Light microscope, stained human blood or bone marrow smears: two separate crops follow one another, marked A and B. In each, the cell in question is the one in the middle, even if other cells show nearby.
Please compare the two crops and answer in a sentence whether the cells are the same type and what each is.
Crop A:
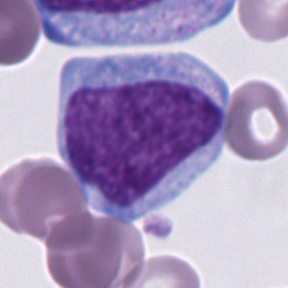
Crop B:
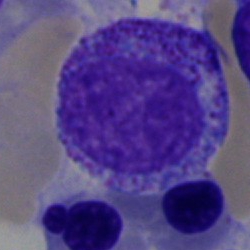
Yes, both crops show promyelocytes as their central cells.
